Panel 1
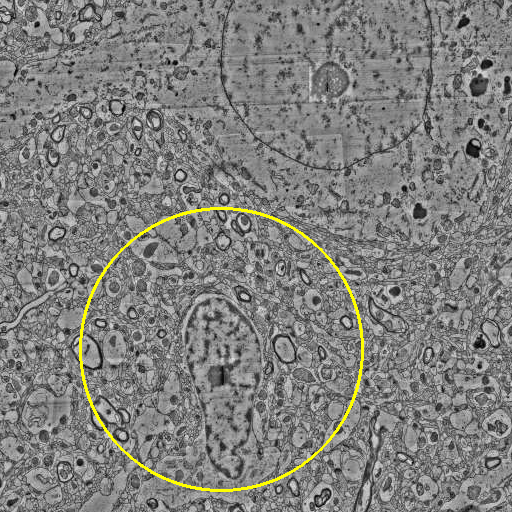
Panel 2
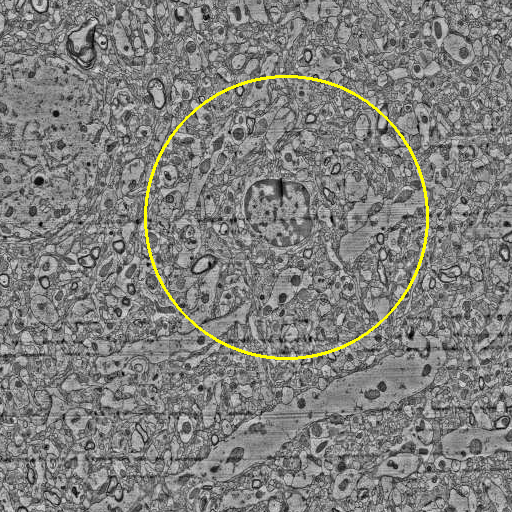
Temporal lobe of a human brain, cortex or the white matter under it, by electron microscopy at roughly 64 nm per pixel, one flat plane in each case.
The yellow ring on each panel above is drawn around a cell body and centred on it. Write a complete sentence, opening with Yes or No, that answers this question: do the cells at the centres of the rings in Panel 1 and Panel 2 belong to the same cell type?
Yes, both cells belong to the same cell type.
